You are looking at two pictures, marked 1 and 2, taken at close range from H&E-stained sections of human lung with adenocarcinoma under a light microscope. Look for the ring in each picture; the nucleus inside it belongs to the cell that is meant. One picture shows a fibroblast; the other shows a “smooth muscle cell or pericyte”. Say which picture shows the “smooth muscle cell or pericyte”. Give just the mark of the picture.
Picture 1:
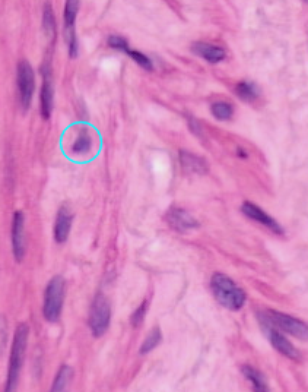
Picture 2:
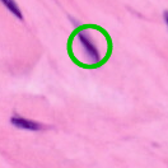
1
